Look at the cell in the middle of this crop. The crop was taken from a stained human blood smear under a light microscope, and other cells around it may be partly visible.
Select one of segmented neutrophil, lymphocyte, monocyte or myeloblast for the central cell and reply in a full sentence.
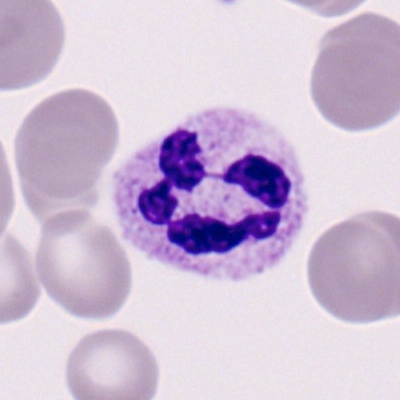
This crop has a segmented neutrophil at its centre.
